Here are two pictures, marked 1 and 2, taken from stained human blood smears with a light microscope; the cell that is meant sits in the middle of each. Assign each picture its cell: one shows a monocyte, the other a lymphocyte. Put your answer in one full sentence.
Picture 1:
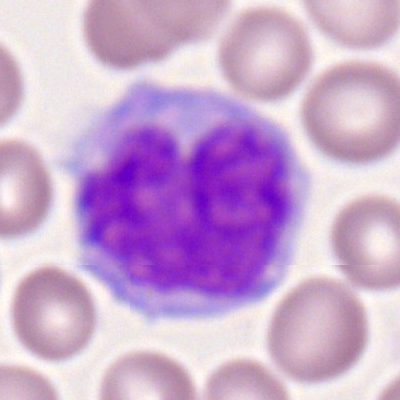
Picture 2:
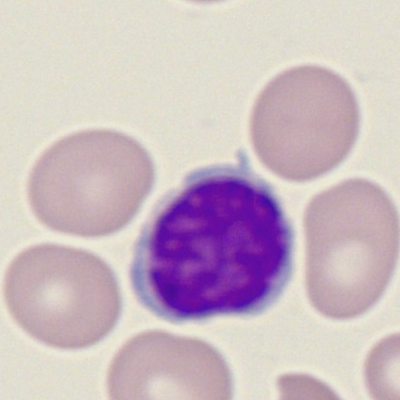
Picture 2 shows a lymphocyte, while picture 1 shows a monocyte.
